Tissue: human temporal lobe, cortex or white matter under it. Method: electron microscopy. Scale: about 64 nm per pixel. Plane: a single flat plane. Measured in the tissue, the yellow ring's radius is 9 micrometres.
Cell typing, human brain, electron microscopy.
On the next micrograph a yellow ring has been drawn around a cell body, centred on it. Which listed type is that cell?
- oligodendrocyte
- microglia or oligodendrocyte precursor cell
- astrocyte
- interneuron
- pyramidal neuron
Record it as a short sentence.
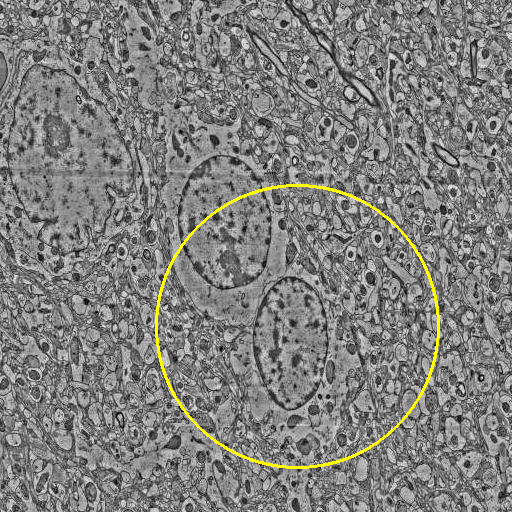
The cell body in the ring's centre belongs to an astrocyte.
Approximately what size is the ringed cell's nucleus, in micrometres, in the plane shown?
Approximately 8 micrometres long and 5 micrometres wide, so clearly longer than it is wide in this plane.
